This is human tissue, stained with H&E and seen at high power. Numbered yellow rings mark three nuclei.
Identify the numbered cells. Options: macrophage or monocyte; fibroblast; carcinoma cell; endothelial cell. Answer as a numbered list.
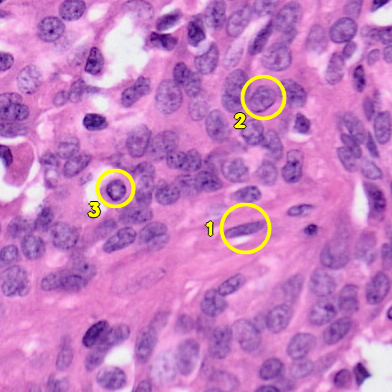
1. endothelial cell
2. carcinoma cell
3. macrophage or monocyte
